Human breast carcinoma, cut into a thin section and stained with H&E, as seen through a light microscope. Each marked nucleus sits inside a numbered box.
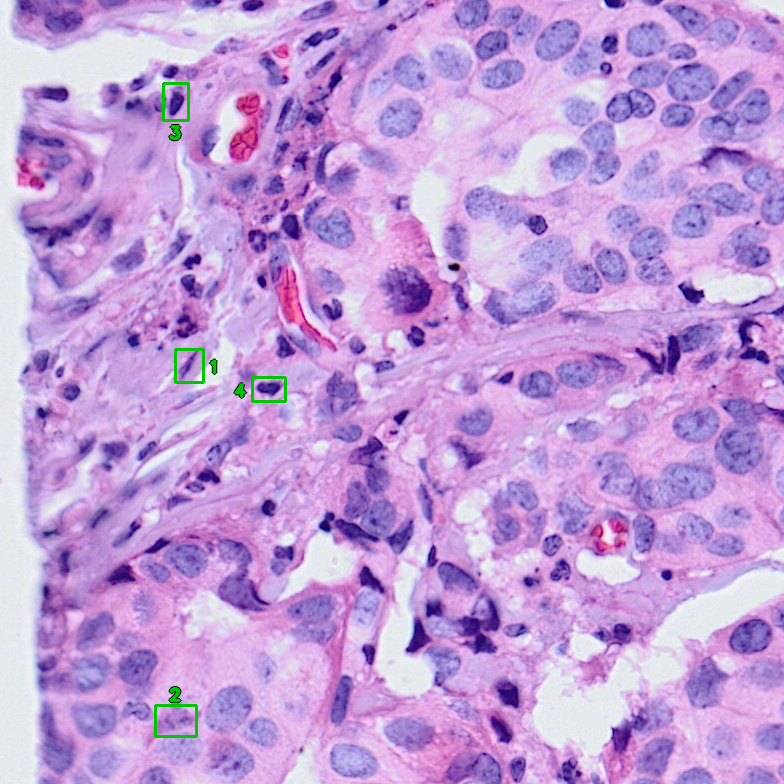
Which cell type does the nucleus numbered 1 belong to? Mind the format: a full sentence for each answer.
Among the marked cells, number 1 is a fibroblast.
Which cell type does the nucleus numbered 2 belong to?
The cell referenced by the number 2 is a carcinoma cell in this field.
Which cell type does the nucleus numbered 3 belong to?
Here, the cell given the number 3 is a lymphocyte.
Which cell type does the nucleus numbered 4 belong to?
The numbered cell 4 is identified here as a lymphocyte.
